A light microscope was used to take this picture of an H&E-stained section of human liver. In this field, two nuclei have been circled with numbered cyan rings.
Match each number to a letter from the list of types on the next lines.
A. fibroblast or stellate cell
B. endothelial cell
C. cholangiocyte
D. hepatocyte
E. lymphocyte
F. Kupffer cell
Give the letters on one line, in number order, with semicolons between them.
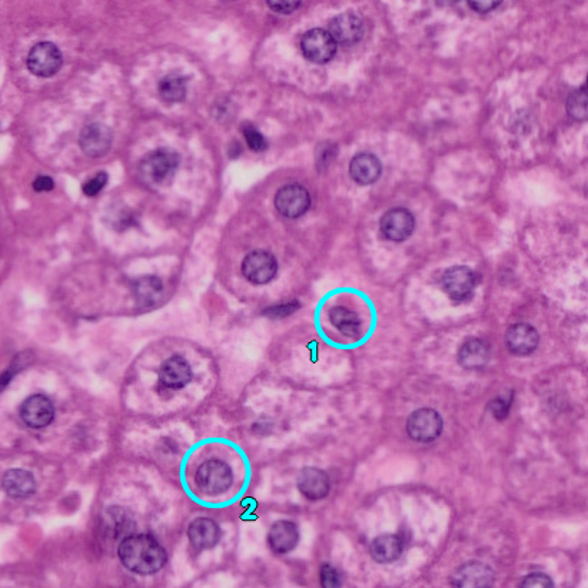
F; D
